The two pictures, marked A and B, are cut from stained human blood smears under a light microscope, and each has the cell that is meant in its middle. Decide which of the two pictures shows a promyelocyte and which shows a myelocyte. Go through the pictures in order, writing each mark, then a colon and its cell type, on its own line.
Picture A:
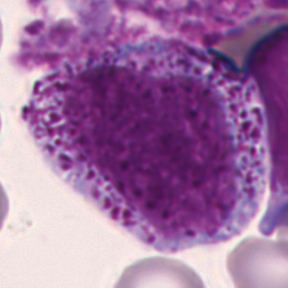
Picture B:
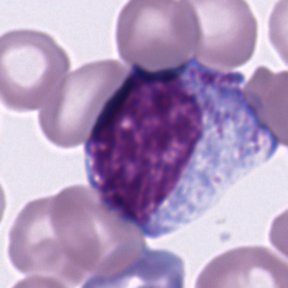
A: promyelocyte
B: myelocyte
